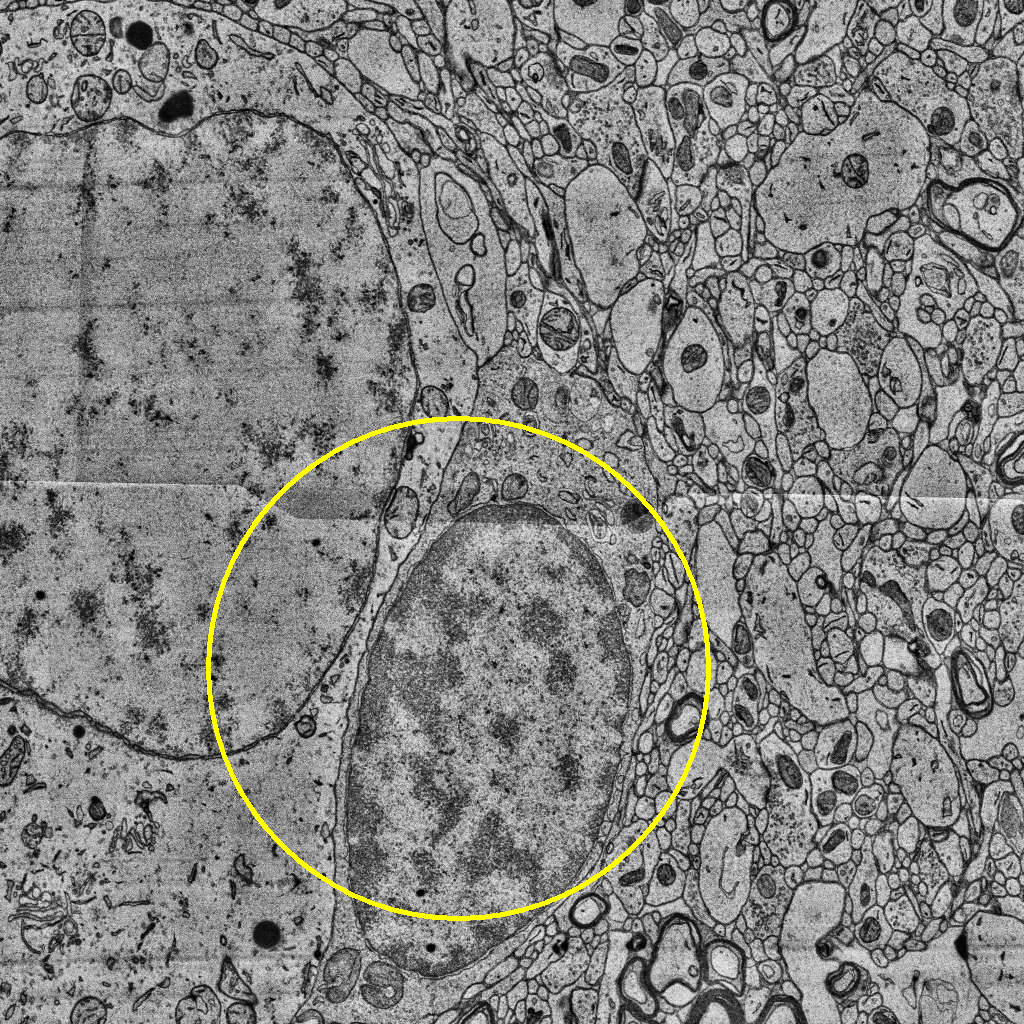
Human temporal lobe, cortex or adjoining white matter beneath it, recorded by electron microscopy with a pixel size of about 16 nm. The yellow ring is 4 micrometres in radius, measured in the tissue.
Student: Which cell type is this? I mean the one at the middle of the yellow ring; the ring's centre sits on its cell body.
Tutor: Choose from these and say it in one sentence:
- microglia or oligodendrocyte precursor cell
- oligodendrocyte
The cell at the ring's centre is an oligodendrocyte.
